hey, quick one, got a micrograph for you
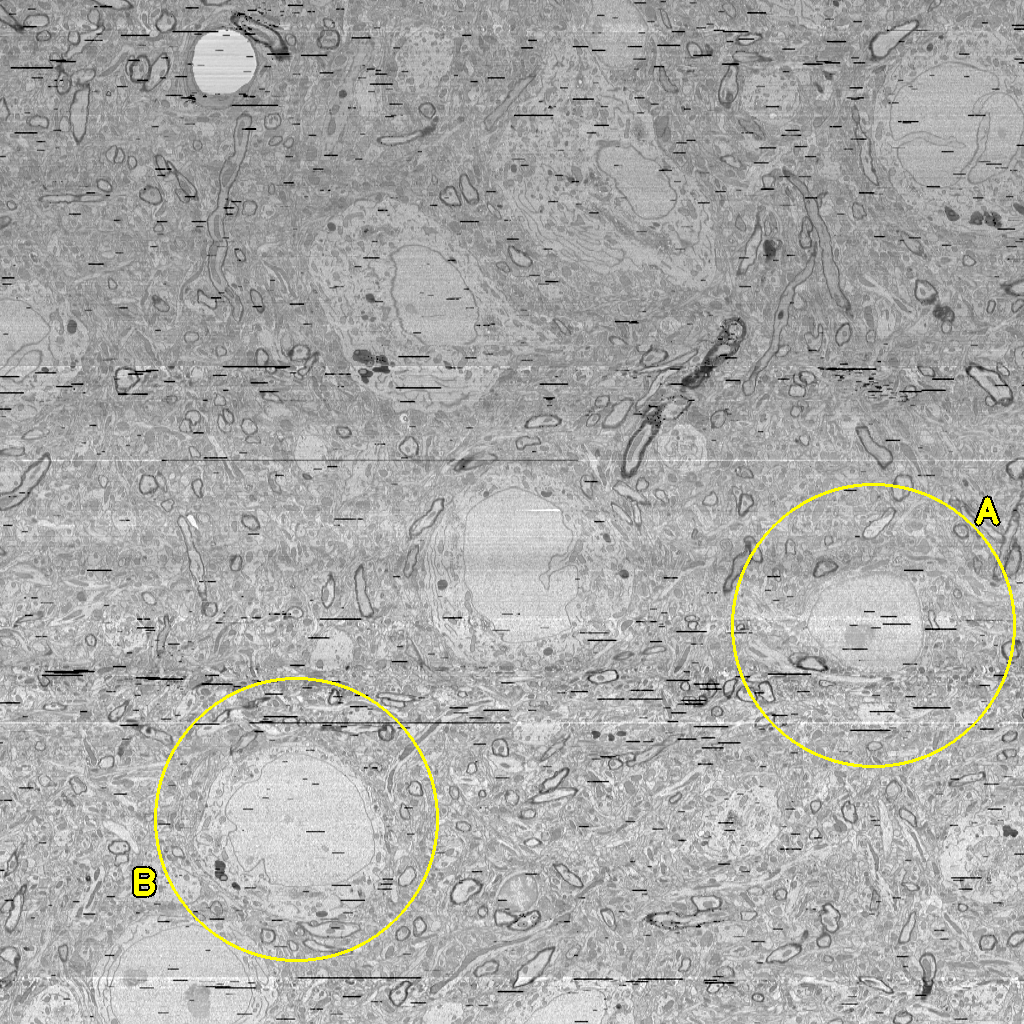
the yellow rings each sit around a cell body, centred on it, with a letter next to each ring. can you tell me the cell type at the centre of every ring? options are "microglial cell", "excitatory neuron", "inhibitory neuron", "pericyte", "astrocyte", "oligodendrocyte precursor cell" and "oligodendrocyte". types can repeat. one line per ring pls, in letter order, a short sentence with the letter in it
Ring A goes around an astrocyte.
Ring B goes around an excitatory neuron.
